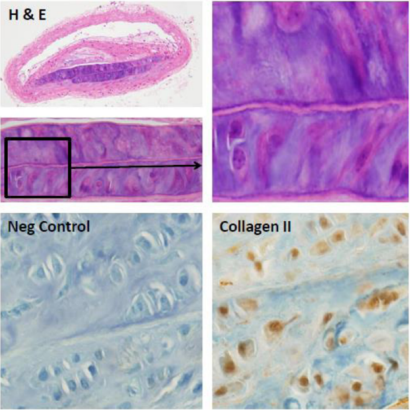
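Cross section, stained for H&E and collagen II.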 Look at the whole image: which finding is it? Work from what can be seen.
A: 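Within the vessel wall lesion, rounded cells sit in clear spaces like cartilage lacunae. The cells are embedded in a purple-staining matrix. The answer: cartilaginous metaplasia.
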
